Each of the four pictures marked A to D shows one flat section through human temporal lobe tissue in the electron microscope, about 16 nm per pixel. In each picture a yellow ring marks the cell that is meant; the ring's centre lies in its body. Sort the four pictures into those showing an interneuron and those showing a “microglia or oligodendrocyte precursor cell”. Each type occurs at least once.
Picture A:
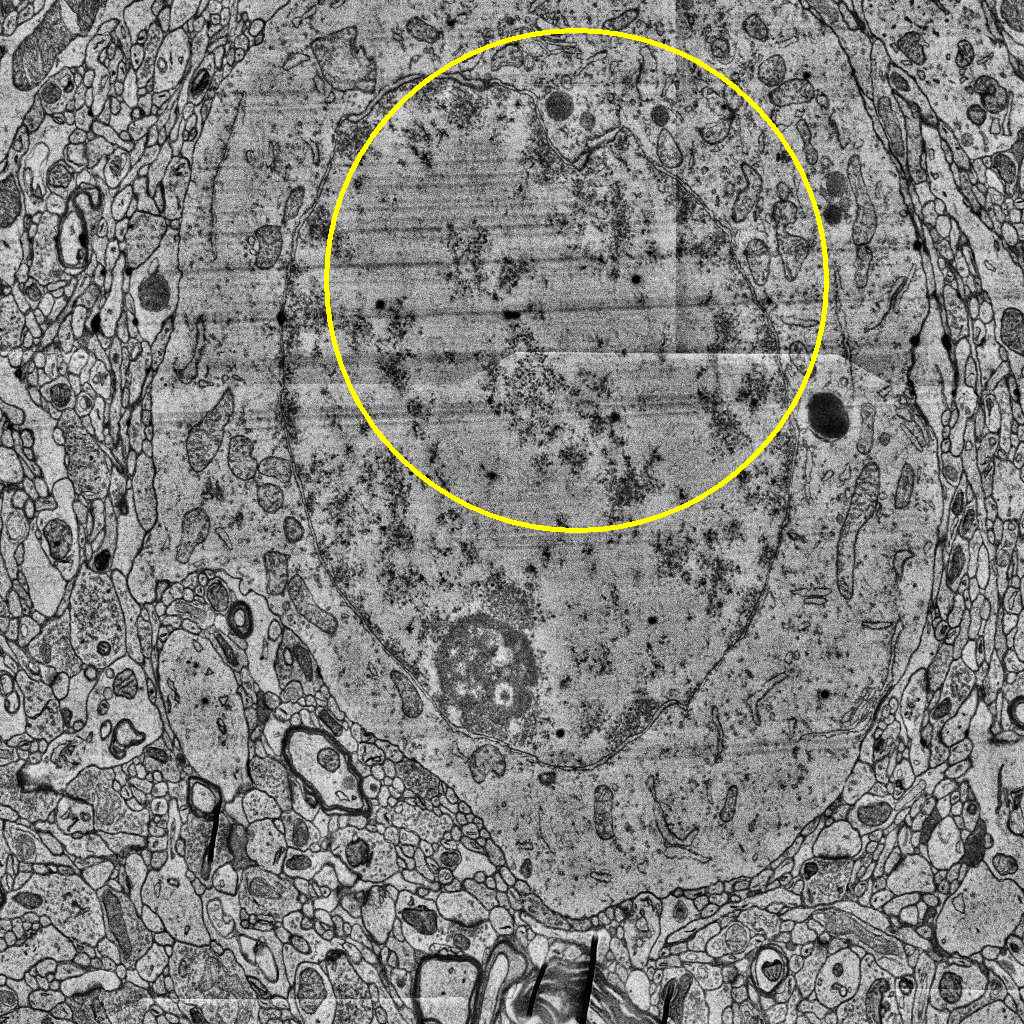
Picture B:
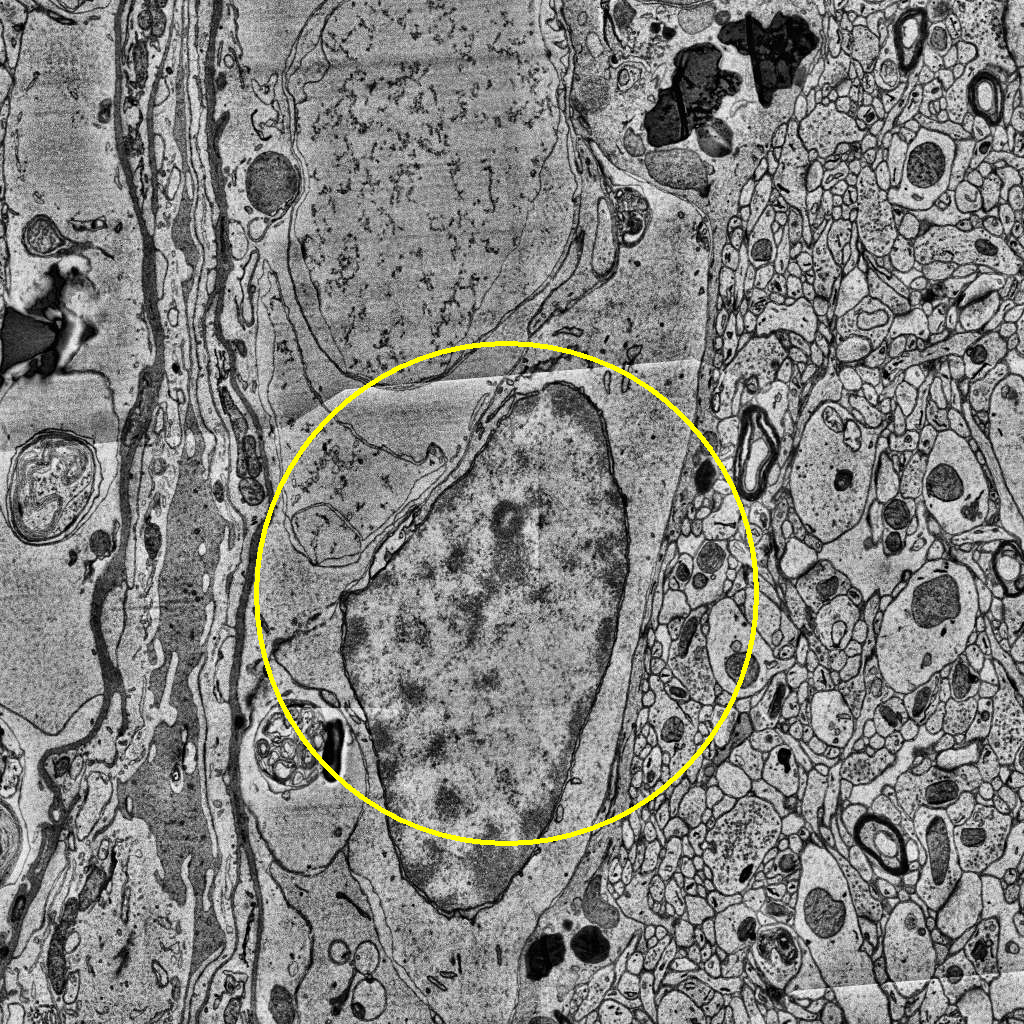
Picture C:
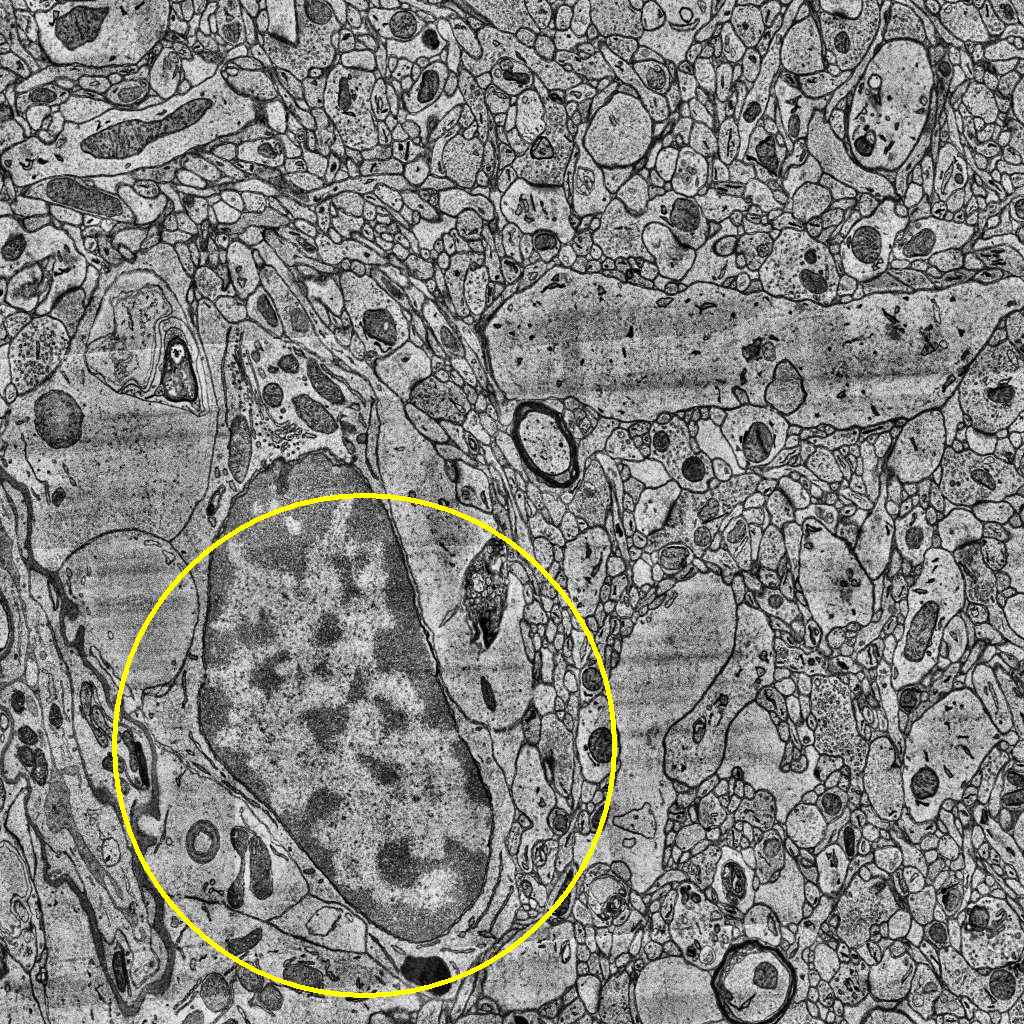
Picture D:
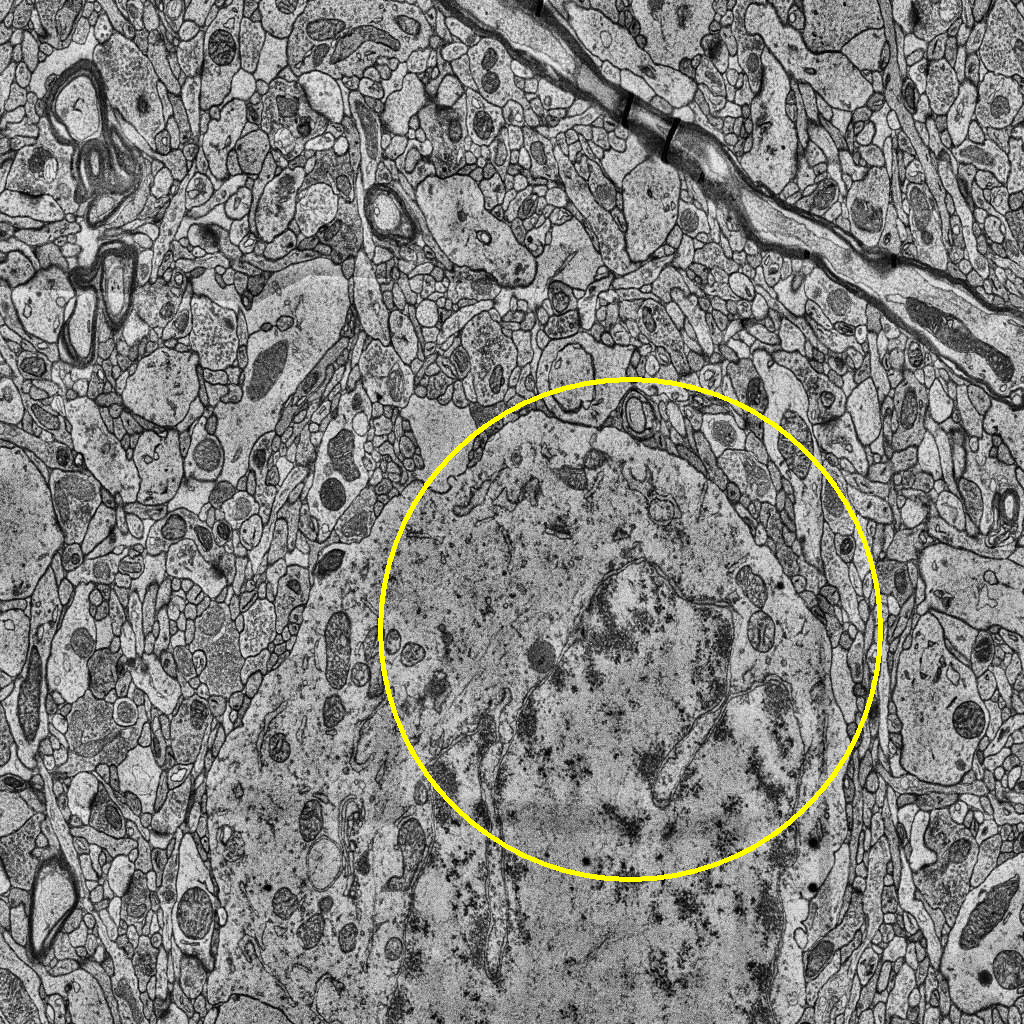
Pictures A and D show interneurons; pictures B and C show “microglia or oligodendrocyte precursor cells”.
